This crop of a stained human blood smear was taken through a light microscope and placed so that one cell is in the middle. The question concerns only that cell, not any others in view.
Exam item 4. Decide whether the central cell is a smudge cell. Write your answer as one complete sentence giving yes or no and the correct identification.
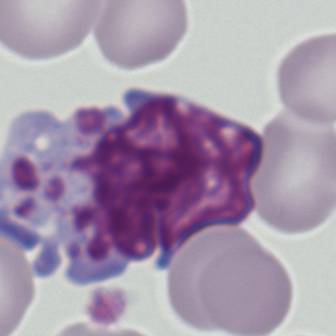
No, the cell in the middle should be called a typical lymphocyte instead of a smudge cell.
